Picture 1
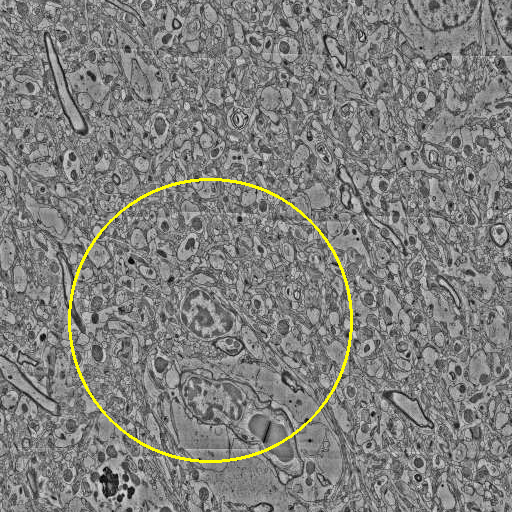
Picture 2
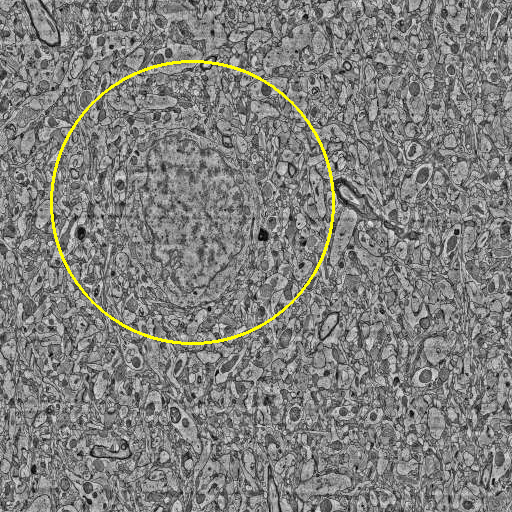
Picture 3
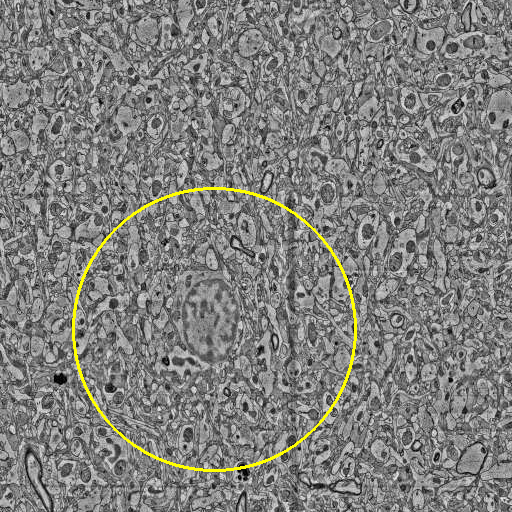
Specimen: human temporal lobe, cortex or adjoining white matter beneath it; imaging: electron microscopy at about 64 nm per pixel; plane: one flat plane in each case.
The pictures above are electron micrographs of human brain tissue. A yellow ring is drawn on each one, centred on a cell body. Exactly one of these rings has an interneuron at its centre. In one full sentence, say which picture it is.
Picture 2 has it at the centre of its ring.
